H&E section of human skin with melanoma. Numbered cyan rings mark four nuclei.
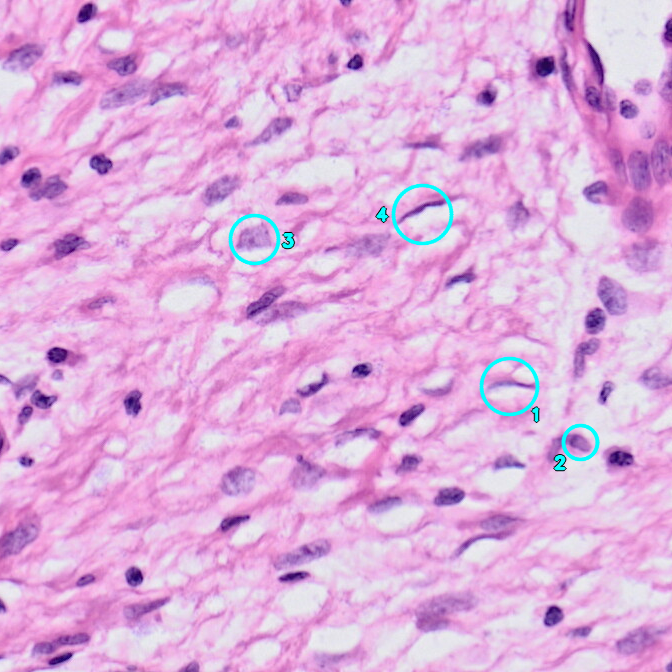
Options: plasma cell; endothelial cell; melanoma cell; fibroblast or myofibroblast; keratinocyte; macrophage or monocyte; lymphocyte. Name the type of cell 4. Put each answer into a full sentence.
The cell that is numbered 4 is a fibroblast or myofibroblast.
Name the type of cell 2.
The cell that bears the number 2 is a macrophage or monocyte.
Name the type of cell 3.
The numbered cell 3 is identified here as a fibroblast or myofibroblast.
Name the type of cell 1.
Cell 1 in the field of view is a fibroblast or myofibroblast.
